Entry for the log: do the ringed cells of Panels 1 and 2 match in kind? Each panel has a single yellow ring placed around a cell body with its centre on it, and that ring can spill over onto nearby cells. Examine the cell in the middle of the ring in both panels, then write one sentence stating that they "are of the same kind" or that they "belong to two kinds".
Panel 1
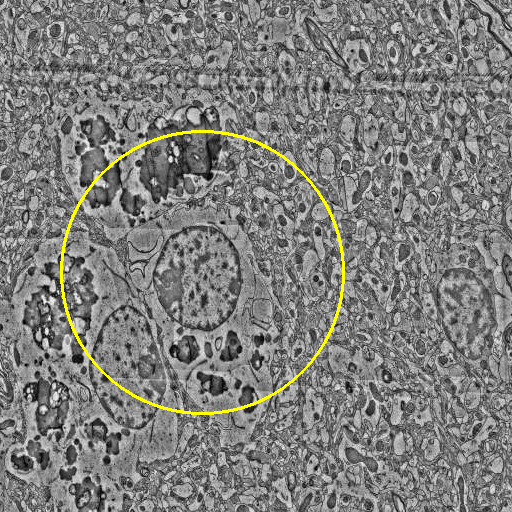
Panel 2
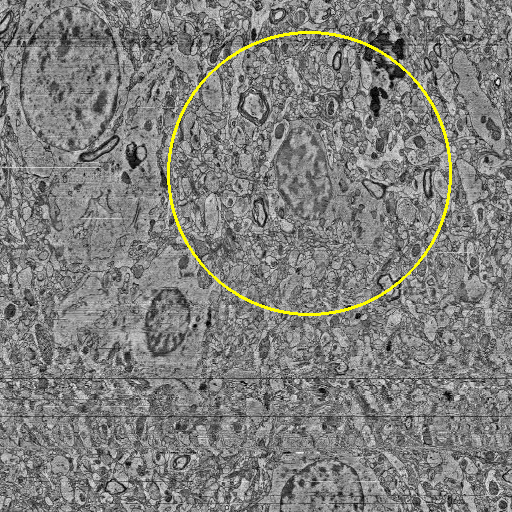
The centre cell of Panel 1's ring and that of Panel 2's ring belong to two kinds.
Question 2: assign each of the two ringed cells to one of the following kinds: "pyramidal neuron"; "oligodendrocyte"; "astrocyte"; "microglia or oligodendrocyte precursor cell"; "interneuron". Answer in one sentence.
The two cells are an astrocyte in the first picture and an oligodendrocyte in the second.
